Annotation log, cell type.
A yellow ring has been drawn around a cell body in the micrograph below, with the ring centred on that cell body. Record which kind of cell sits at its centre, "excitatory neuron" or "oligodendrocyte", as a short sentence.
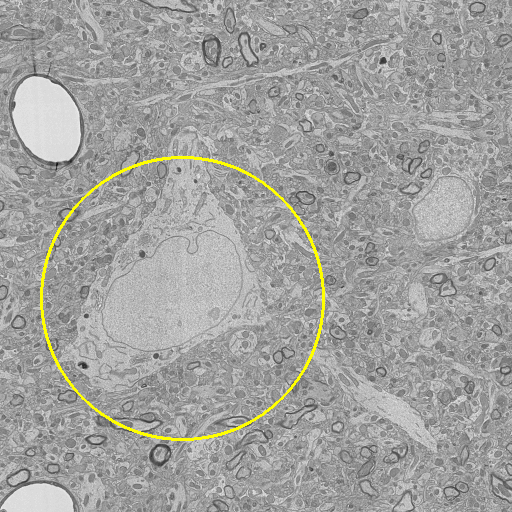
The cell at the centre of this ring is an excitatory neuron.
